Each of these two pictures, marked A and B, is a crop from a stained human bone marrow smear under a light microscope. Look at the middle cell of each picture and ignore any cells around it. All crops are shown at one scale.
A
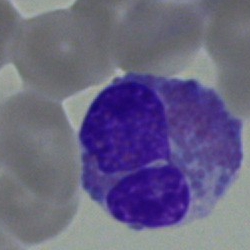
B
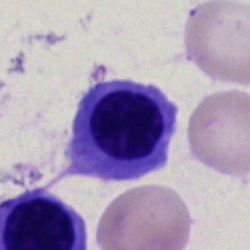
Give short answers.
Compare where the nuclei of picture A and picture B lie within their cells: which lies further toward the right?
B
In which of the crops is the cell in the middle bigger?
A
